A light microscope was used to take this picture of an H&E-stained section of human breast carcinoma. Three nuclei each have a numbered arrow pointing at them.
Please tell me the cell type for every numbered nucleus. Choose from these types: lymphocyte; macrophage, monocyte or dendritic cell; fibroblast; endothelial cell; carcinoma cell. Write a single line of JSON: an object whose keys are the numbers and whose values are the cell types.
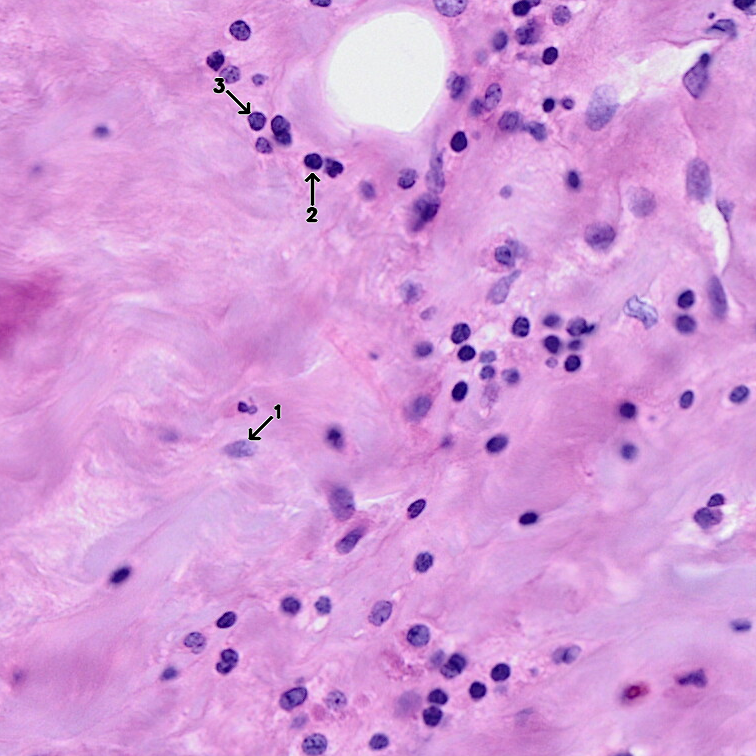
{"1": "fibroblast", "2": "lymphocyte", "3": "lymphocyte"}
